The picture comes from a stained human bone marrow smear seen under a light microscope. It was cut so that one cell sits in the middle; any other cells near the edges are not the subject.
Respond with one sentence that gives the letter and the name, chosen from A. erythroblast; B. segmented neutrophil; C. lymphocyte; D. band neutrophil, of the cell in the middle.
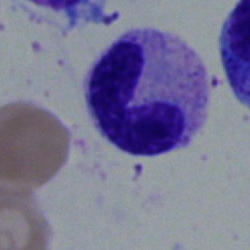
Option D correctly states that the central cell is a band neutrophil.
